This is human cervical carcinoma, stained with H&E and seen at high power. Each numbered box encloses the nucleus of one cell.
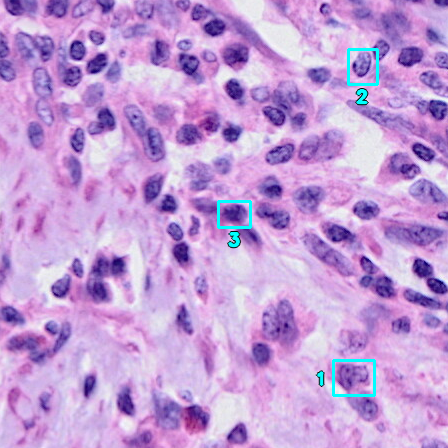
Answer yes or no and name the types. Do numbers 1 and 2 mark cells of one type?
No, sorry to say, cell 1 is a macrophage or monocyte and cell 2 is a lymphocyte.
